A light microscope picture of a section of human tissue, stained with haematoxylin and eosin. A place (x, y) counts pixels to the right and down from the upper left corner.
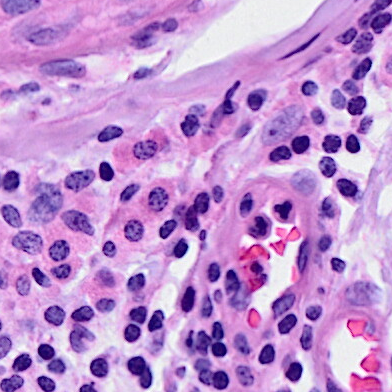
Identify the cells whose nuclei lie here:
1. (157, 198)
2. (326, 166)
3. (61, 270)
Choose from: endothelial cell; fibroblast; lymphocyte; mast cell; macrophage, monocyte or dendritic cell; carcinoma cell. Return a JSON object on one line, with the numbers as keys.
{"1": "mast cell", "2": "lymphocyte", "3": "mast cell"}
